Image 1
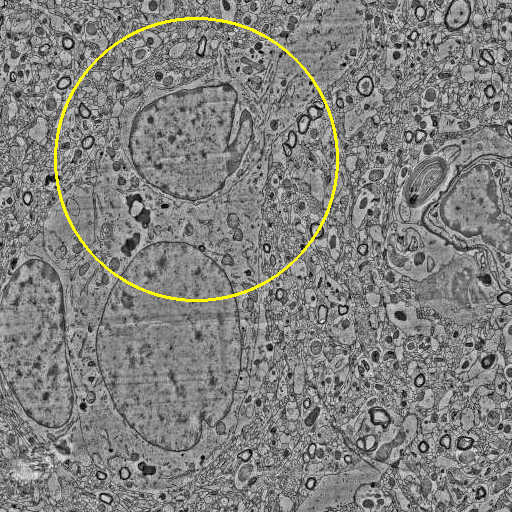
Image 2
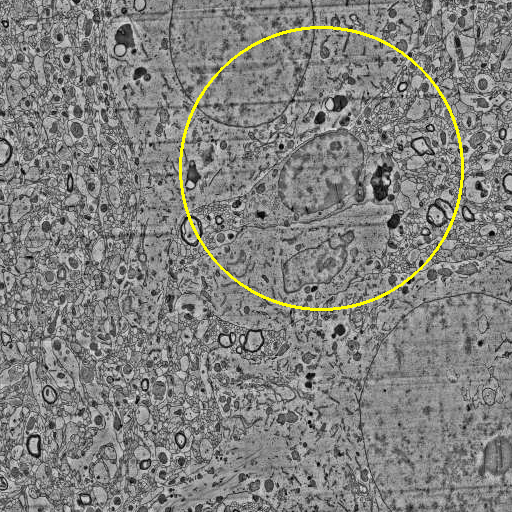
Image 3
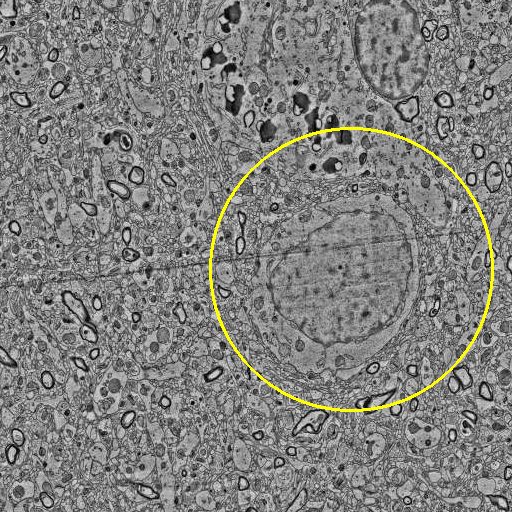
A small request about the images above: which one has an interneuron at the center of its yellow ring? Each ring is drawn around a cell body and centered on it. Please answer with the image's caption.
Image 3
